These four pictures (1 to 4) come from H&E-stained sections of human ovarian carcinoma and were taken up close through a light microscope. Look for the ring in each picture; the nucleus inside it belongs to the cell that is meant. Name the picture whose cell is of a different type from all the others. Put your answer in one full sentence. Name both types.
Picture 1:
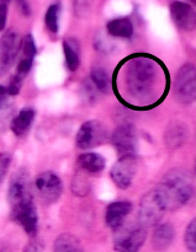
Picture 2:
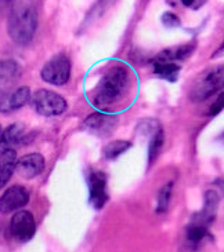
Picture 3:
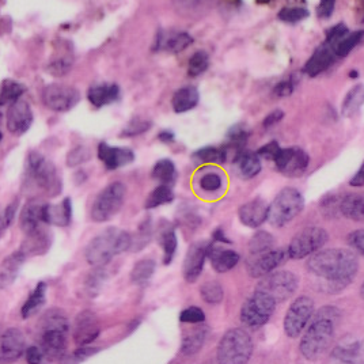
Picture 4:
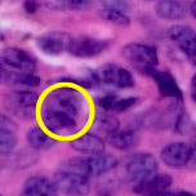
Unlike the rest, which show carcinoma cells, picture 3 shows a “macrophage or monocyte”.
